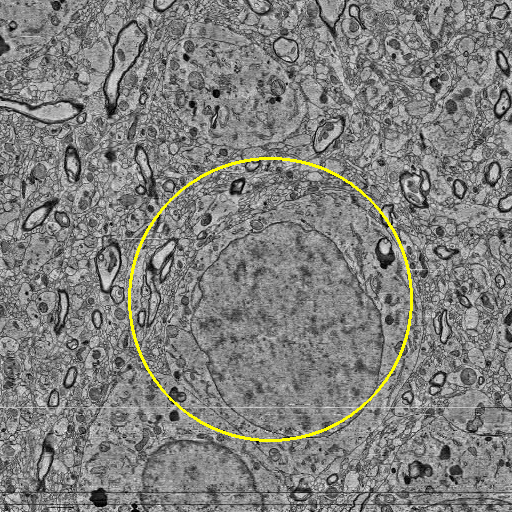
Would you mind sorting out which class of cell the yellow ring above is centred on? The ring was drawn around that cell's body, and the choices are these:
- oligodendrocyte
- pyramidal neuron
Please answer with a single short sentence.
This is the cell body of a pyramidal neuron.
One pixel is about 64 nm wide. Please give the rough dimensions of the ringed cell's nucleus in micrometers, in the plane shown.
The ringed cell's nucleus measures approximately 15 by 12 micrometres in this plane.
